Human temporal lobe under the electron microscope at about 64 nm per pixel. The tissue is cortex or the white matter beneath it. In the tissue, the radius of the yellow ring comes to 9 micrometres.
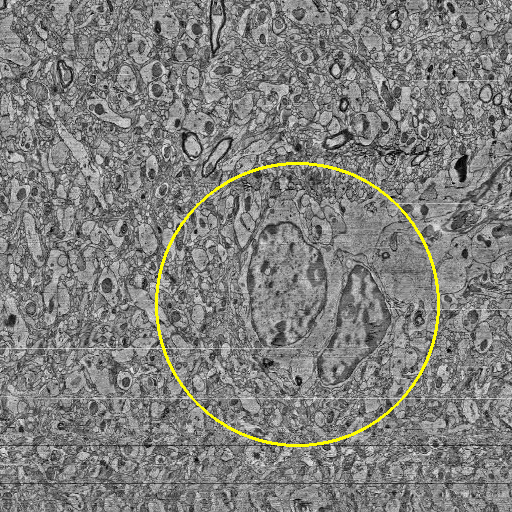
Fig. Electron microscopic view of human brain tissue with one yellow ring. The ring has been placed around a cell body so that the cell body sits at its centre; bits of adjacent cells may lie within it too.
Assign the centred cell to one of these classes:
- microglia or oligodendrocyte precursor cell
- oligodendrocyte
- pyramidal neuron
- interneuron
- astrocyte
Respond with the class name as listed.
microglia or oligodendrocyte precursor cell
